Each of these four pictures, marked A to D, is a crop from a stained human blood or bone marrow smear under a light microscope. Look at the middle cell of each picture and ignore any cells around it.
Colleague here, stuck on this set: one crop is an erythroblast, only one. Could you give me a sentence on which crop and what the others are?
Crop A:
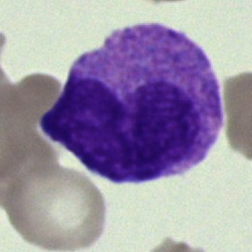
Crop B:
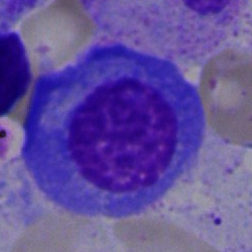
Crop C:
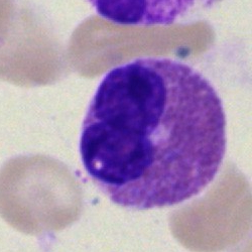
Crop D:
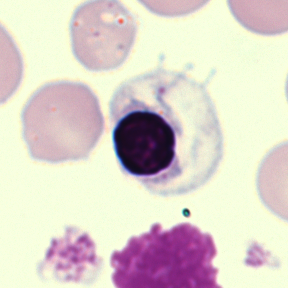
It is an erythroblast that crop D shows, while crop A is a metamyelocyte, crop B is a plasma cell and crop C is an eosinophil.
